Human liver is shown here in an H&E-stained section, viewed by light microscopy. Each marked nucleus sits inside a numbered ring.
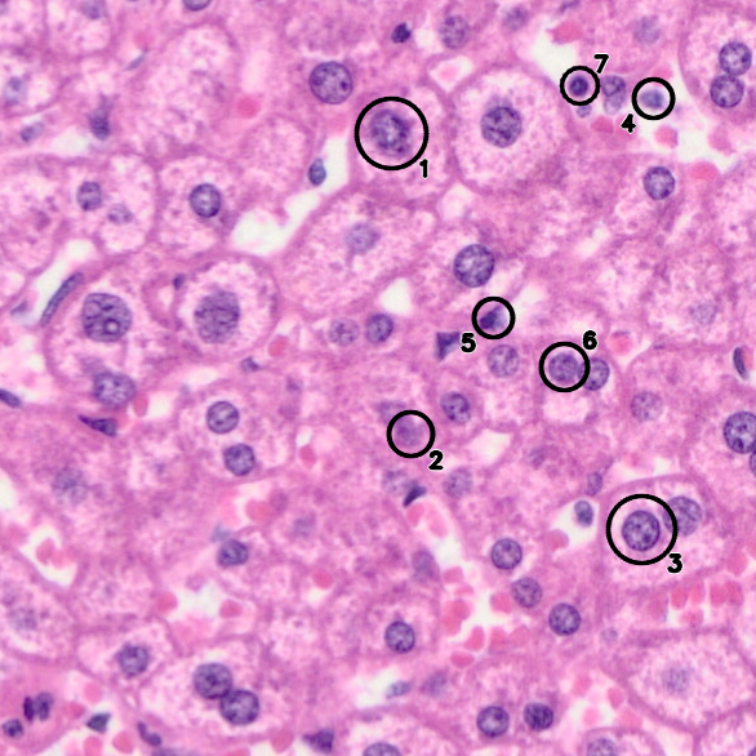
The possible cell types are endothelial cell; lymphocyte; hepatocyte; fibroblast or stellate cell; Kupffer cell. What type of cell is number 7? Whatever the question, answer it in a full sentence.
The numbered cell 7 in this field is a lymphocyte.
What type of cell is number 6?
What the number 6 marks in this field is a hepatocyte.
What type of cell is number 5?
Looking at the numbered marks, cell 5 is a fibroblast or stellate cell.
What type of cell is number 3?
Of the numbered cells, the one labelled 3 is a hepatocyte.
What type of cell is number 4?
The expected answer is that cell 4 is a lymphocyte.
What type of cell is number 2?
The marked cell with the number 2 is recognised as a hepatocyte.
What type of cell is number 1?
Recognised here as a hepatocyte is the cell numbered 1.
